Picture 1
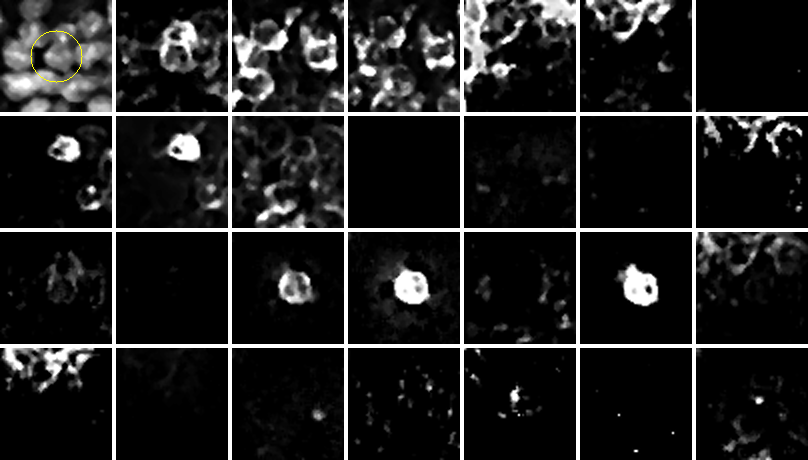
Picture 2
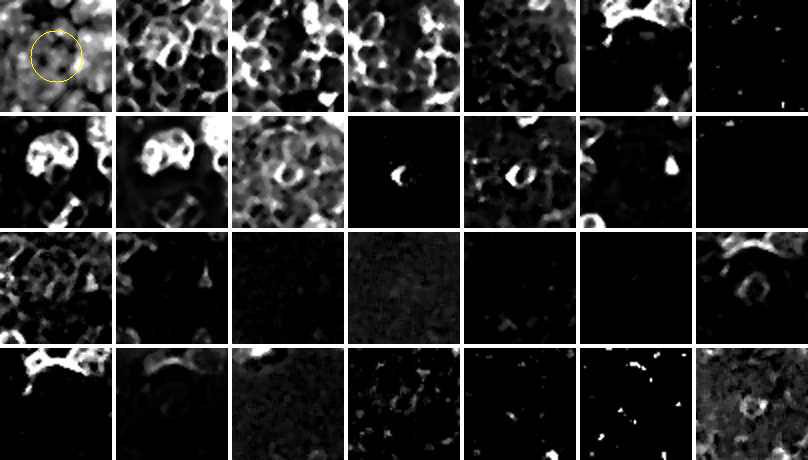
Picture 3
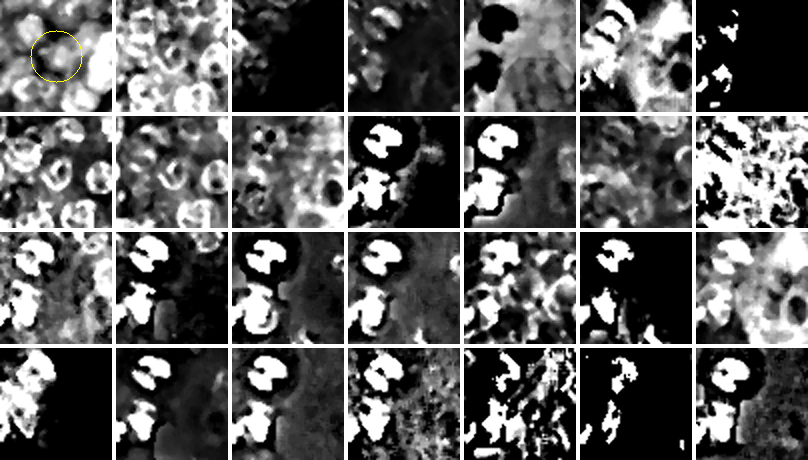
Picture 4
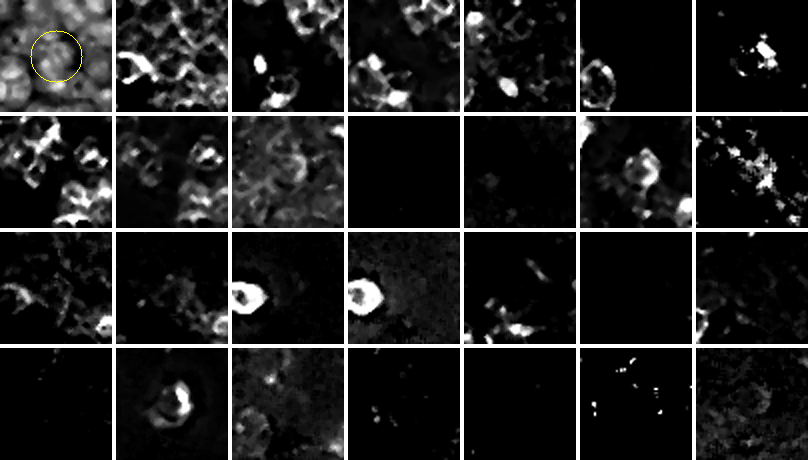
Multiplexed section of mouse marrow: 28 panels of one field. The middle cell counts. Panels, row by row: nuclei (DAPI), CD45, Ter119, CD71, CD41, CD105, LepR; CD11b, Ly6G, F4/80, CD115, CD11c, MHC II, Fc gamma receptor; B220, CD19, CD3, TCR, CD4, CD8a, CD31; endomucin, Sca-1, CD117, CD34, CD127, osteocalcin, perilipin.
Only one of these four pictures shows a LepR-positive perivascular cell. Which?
Picture 4.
